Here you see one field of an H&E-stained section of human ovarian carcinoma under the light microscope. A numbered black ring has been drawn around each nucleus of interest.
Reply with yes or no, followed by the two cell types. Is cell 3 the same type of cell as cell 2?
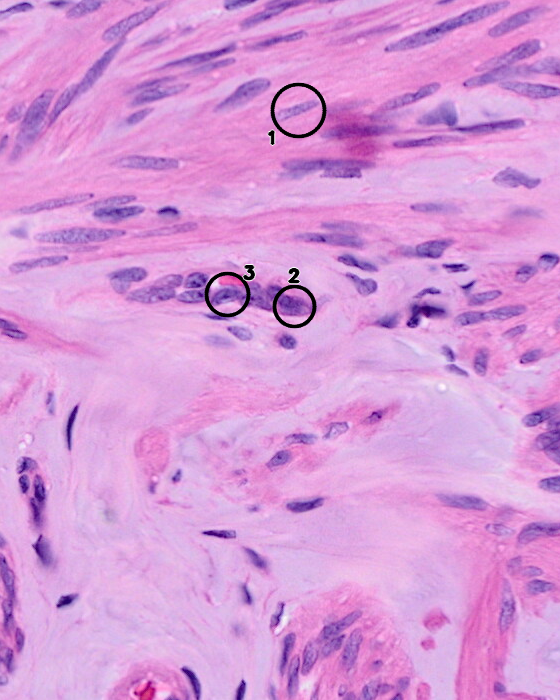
Yes, sure, cells 3 and 2 are both endothelial cells.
